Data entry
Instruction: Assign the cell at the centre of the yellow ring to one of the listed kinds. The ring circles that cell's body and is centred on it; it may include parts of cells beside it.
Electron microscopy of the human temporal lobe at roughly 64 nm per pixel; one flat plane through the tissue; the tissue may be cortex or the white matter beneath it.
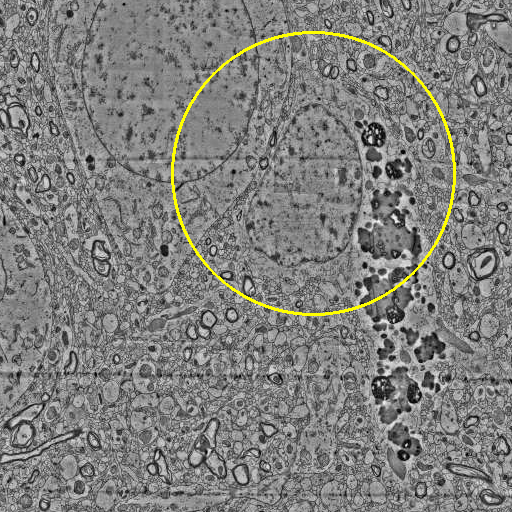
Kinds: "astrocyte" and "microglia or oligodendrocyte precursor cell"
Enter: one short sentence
The centre of the ring falls on an astrocyte.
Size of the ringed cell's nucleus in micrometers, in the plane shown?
The nucleus measures about 10 by 7 micrometres in this plane.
